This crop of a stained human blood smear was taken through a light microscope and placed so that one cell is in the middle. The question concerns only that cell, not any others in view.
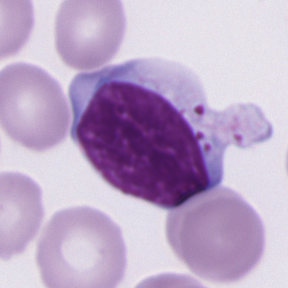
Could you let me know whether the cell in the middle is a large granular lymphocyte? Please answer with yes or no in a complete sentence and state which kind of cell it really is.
Yes, the cell that the crop is centered on is a large granular lymphocyte.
